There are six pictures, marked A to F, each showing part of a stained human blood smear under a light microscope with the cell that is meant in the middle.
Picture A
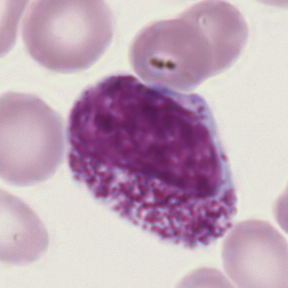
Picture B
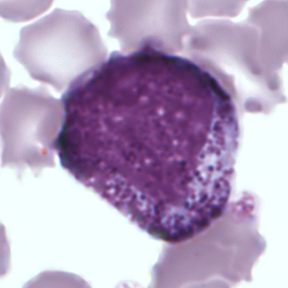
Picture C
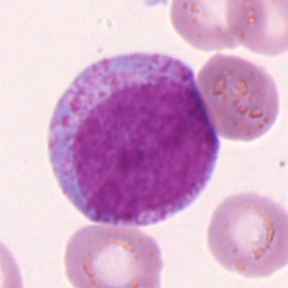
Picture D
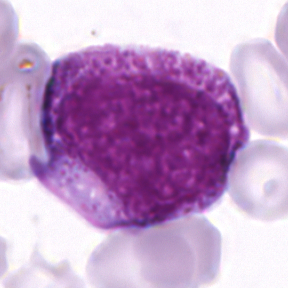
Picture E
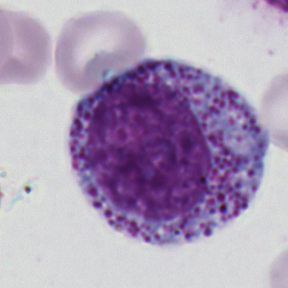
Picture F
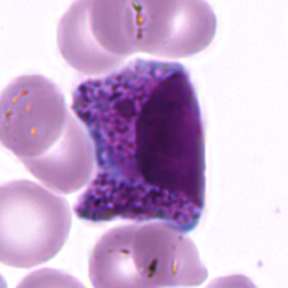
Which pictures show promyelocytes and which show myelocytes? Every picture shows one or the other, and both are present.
A: myelocyte
B: myelocyte
C: promyelocyte
D: promyelocyte
E: promyelocyte
F: promyelocyte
